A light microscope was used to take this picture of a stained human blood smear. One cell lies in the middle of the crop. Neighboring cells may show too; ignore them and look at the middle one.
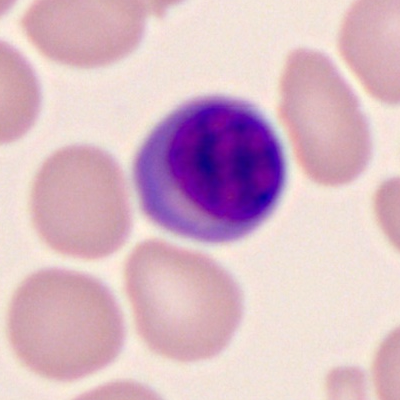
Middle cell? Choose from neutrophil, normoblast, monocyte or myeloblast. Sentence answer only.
The cell in the middle of this crop is a normoblast.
